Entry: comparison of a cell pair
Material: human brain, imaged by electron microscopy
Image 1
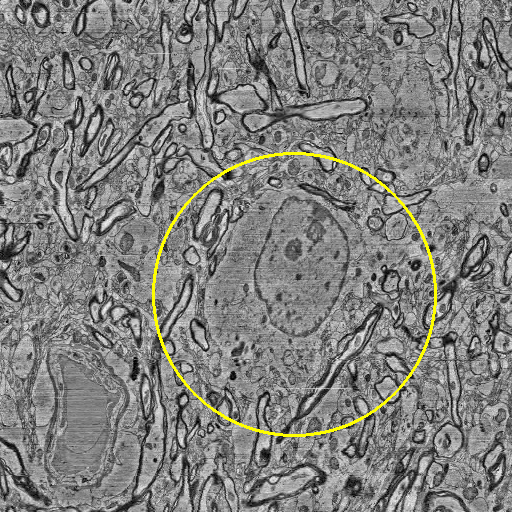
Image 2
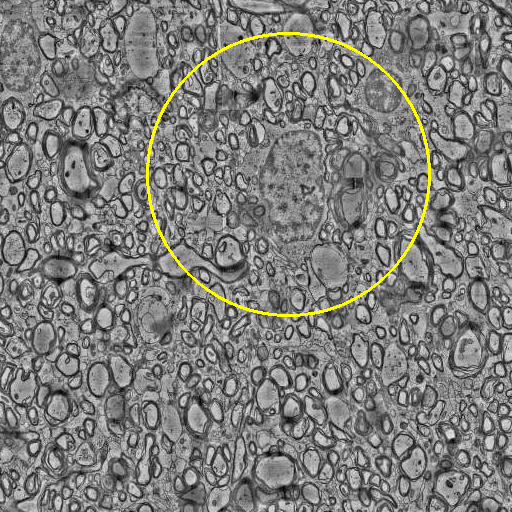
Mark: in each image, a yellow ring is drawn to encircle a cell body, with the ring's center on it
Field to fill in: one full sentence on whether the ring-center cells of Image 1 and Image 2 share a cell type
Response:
No, Image 1 and Image 2 show ring-center cells of two separate types.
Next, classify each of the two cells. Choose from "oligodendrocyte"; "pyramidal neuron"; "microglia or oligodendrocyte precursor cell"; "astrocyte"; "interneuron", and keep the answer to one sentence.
In the first picture it is an astrocyte; in the second it is an oligodendrocyte.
